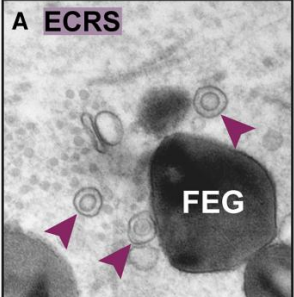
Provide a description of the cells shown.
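Some vesicles lie close to the granule surface, others a short distance away. An elongated membrane profile and a cluster of small round dense particles are seen at the upper left. No intact cell outline surrounds the granule.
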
